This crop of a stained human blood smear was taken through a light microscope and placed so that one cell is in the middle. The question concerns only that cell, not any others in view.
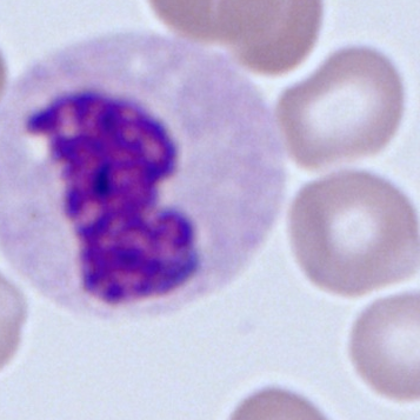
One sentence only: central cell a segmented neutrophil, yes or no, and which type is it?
Yes, the central cell here is a segmented neutrophil.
